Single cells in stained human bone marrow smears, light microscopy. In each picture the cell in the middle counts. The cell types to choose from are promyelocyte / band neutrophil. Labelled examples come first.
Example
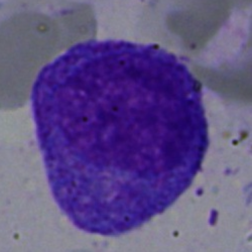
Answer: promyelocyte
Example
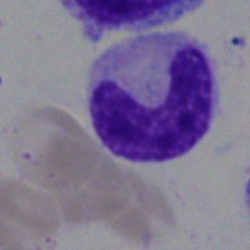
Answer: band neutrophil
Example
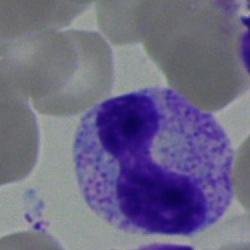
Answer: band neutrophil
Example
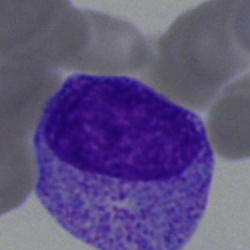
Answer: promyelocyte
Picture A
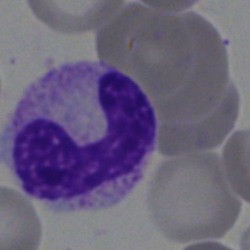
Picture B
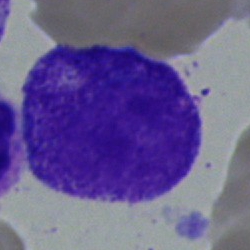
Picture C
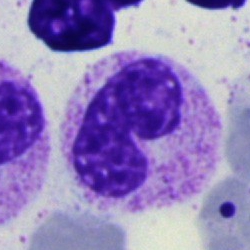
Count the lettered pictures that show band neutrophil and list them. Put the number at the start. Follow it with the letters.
2, namely A, C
